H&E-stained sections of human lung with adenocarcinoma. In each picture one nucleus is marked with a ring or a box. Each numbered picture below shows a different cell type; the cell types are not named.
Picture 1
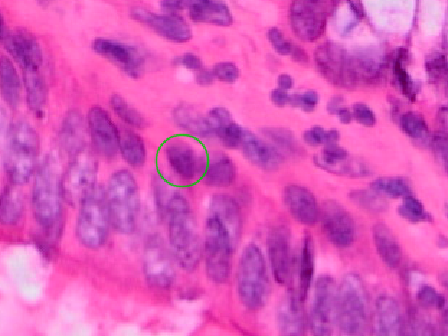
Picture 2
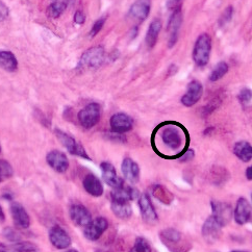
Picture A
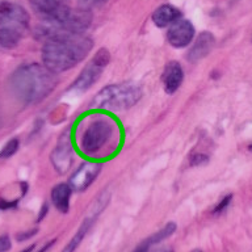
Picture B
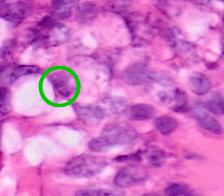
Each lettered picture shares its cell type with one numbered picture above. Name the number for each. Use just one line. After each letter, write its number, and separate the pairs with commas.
A 2, B 1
